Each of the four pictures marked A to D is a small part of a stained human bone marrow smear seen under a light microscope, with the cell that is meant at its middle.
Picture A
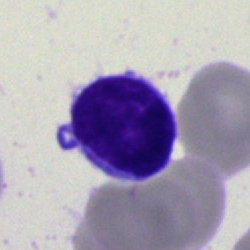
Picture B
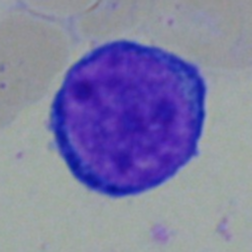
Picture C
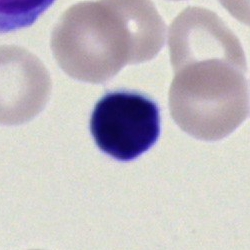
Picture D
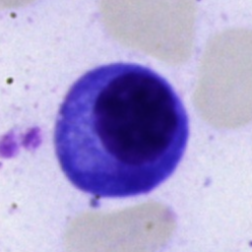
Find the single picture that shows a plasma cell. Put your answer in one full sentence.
The picture with the plasma cell is D.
